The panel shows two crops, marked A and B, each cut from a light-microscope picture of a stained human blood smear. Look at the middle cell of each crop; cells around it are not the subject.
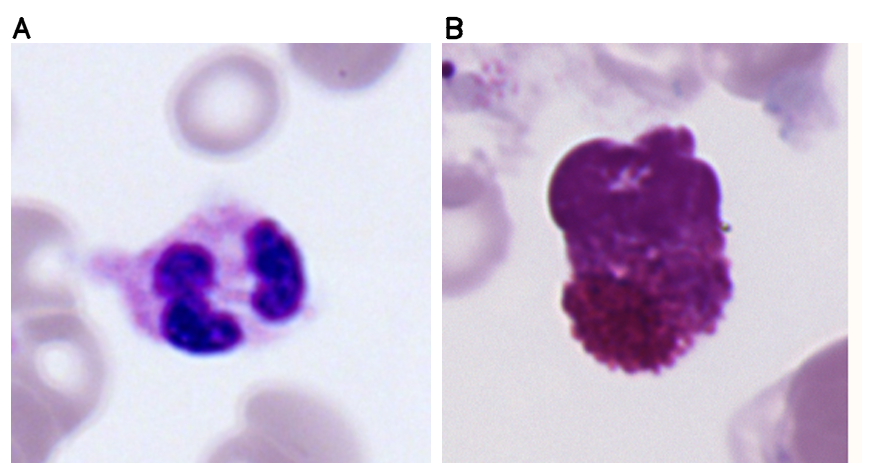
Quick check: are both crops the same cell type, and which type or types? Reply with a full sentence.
No, the middle of crop A holds a neutrophil, and the middle of crop B holds an eosinophil.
